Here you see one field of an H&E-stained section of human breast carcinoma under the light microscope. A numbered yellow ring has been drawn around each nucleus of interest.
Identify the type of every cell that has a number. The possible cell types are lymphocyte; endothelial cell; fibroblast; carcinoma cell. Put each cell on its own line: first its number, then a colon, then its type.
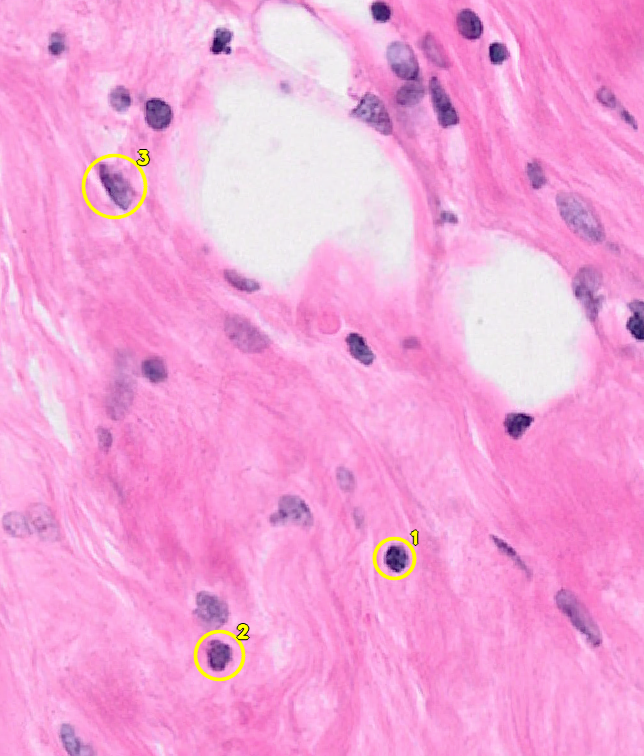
1: lymphocyte
2: lymphocyte
3: fibroblast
